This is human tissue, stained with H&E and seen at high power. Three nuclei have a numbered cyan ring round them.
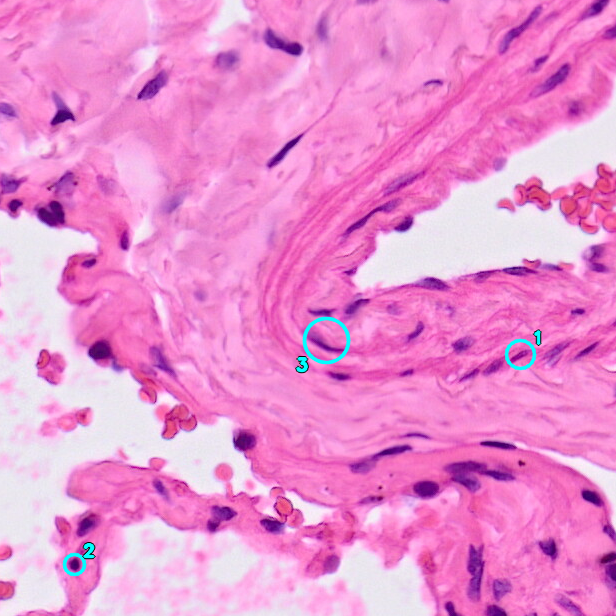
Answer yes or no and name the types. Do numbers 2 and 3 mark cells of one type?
No, cell 3 is a smooth muscle cell or pericyte, whereas cell 2 is an endothelial cell.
